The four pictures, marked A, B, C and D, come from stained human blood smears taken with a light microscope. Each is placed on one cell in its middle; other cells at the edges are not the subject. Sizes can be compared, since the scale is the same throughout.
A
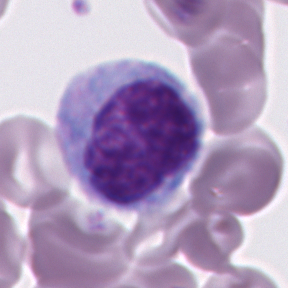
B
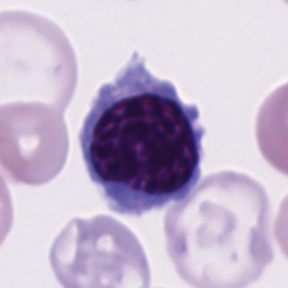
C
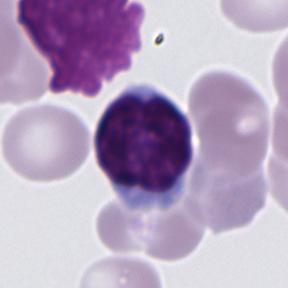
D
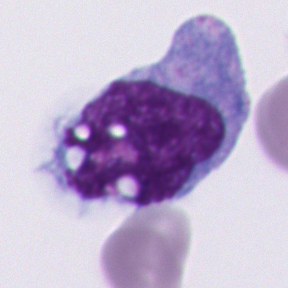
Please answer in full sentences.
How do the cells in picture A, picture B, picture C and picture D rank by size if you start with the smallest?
Smallest first: C, B, A, D.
